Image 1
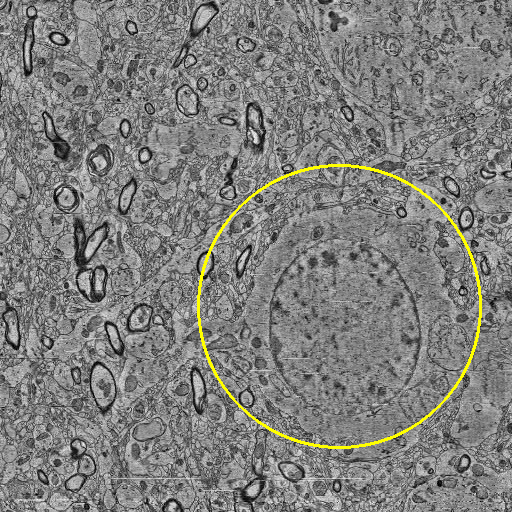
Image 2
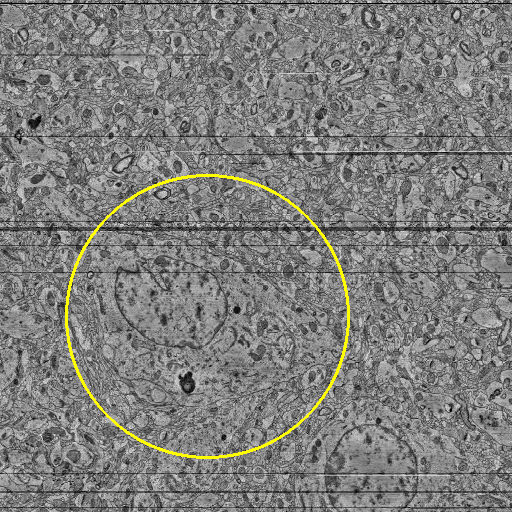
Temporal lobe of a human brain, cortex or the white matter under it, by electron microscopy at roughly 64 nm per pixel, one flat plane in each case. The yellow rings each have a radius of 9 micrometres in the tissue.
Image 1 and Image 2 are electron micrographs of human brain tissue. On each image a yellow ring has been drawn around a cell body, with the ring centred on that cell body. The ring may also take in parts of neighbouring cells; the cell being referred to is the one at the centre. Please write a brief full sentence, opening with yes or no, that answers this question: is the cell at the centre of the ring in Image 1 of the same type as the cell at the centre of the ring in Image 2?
No, the two cells are of two types.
